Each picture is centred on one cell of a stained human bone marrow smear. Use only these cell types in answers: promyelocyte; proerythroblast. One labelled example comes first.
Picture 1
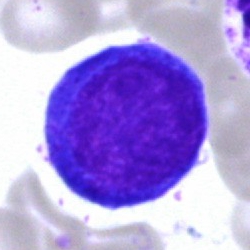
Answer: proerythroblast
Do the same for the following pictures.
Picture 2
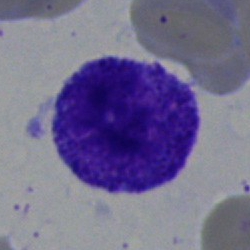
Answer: promyelocyte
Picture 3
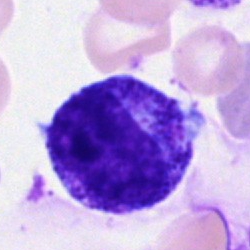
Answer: promyelocyte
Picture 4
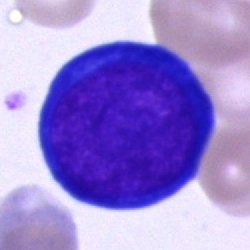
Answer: proerythroblast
